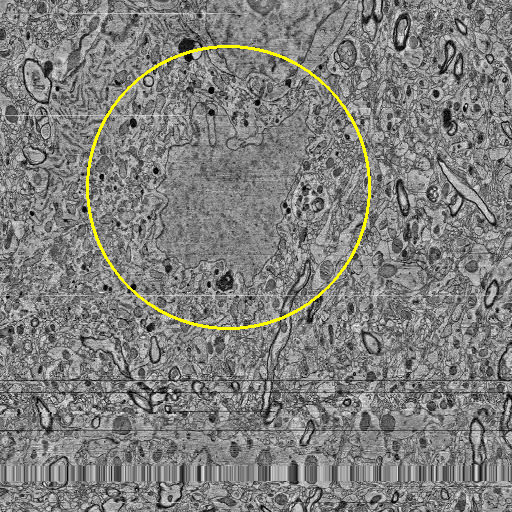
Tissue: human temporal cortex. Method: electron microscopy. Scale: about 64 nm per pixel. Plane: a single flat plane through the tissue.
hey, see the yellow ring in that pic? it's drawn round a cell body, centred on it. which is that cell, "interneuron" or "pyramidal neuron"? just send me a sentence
The cell in the ring is a pyramidal neuron.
